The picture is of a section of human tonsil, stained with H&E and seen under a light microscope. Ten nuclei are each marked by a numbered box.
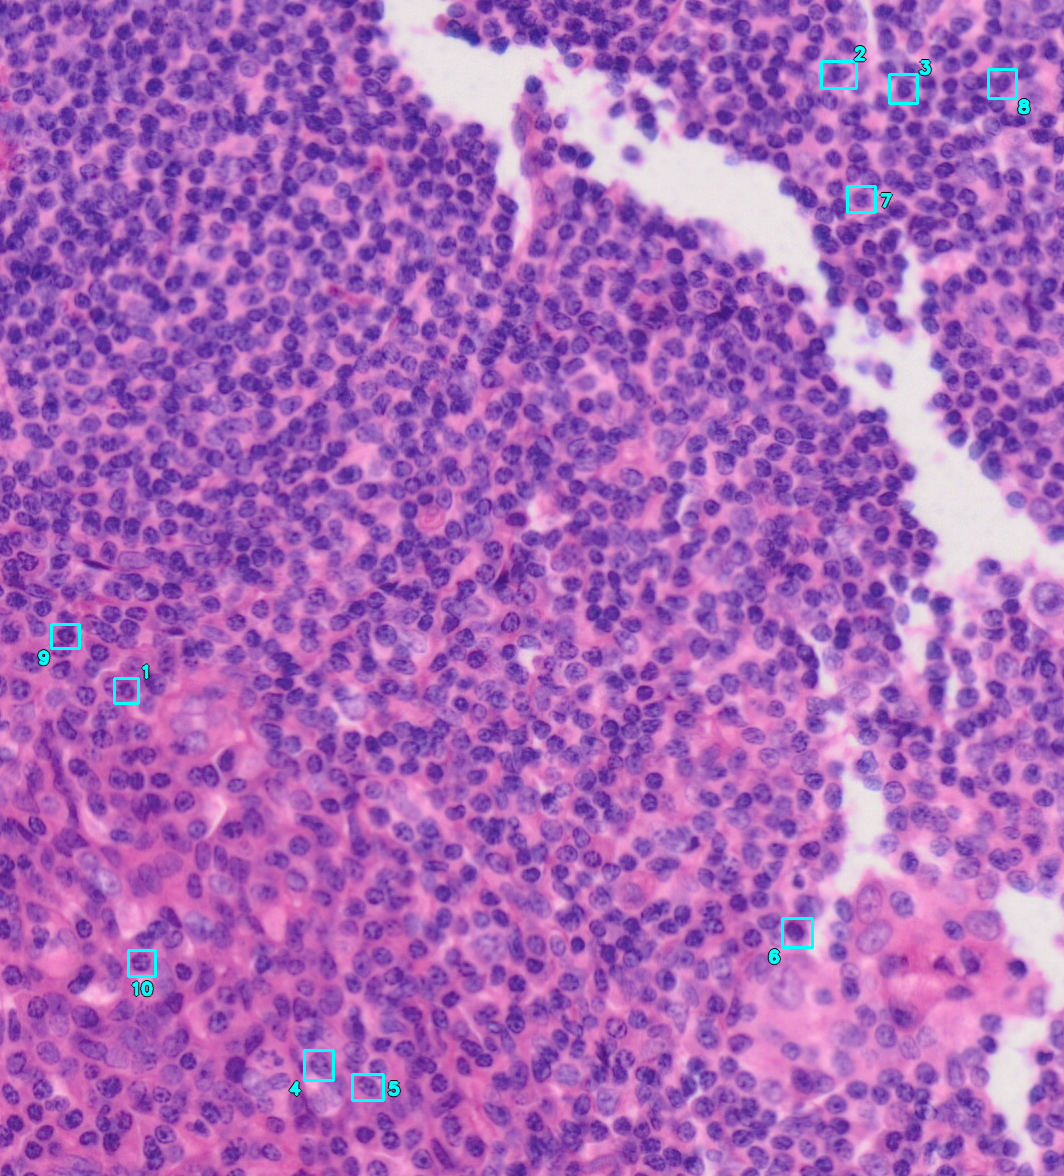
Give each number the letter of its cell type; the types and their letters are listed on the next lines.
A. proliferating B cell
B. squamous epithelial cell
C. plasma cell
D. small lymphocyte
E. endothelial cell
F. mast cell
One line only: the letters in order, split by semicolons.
C; D; D; C; C; C; D; D; C; C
